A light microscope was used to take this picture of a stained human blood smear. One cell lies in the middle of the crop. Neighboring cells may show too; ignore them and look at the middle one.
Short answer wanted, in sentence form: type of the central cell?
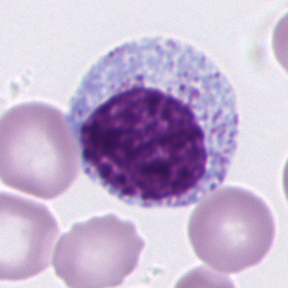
Where the crop is centred, there is a myelocyte.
